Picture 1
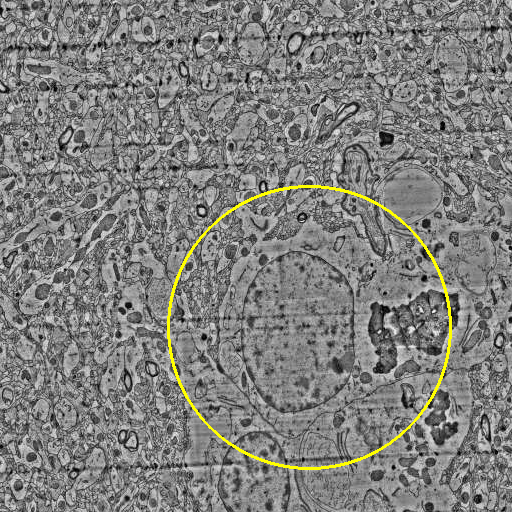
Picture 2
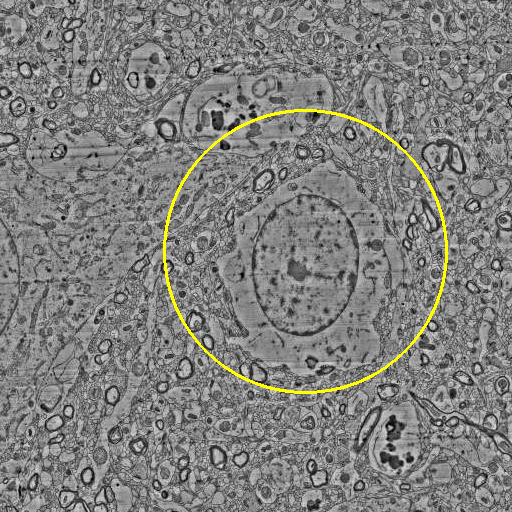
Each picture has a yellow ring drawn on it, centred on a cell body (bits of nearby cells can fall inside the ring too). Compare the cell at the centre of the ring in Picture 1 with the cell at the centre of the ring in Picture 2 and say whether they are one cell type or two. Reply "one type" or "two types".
one type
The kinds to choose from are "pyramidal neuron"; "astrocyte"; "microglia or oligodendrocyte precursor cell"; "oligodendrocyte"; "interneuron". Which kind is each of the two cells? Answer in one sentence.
Each of the two cells is an astrocyte.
